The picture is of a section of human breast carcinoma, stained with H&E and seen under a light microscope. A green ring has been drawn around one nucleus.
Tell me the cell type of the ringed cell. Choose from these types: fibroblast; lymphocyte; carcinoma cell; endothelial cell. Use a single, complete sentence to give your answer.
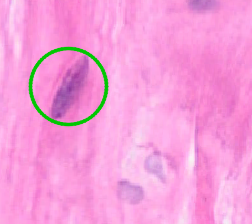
The classification of the ringed cell is as a fibroblast.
